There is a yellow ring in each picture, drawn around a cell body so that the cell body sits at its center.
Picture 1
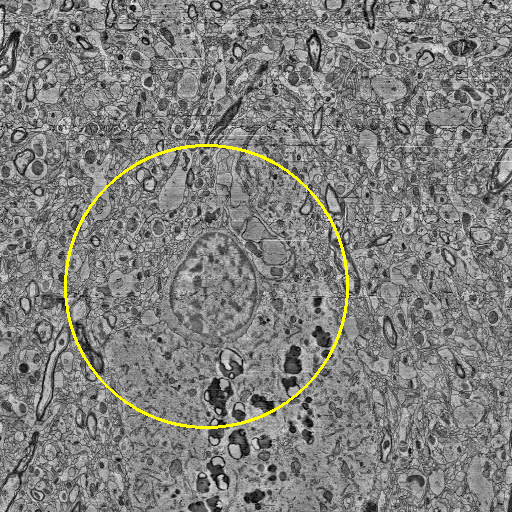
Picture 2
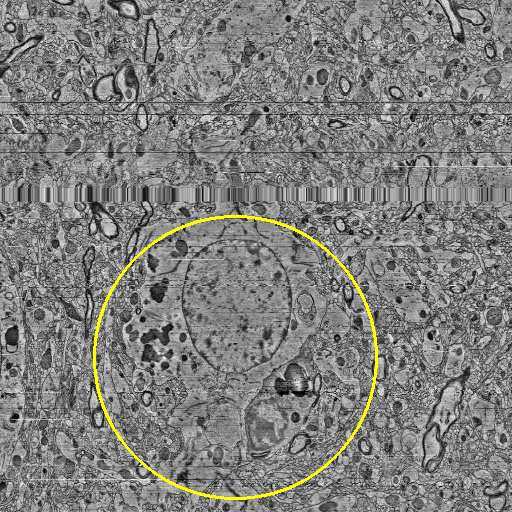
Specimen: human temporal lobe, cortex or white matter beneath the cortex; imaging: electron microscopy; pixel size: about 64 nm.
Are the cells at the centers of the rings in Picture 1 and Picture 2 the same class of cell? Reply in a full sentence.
No, the two cells are two classes of cell.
